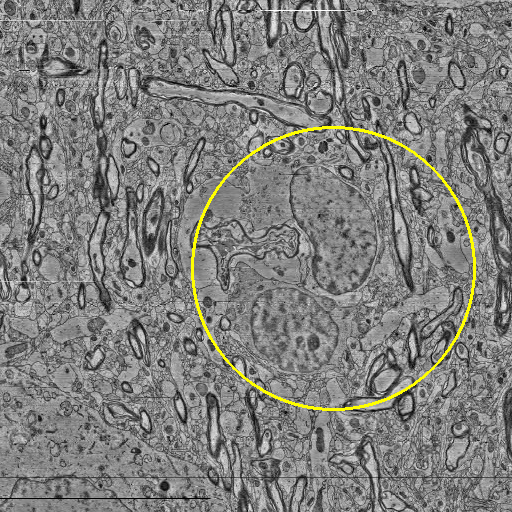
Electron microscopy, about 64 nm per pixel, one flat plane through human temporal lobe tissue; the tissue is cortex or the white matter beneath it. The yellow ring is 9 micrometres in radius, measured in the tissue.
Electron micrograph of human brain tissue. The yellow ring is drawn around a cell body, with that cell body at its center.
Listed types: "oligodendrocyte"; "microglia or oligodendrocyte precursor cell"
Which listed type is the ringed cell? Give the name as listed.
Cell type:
microglia or oligodendrocyte precursor cell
